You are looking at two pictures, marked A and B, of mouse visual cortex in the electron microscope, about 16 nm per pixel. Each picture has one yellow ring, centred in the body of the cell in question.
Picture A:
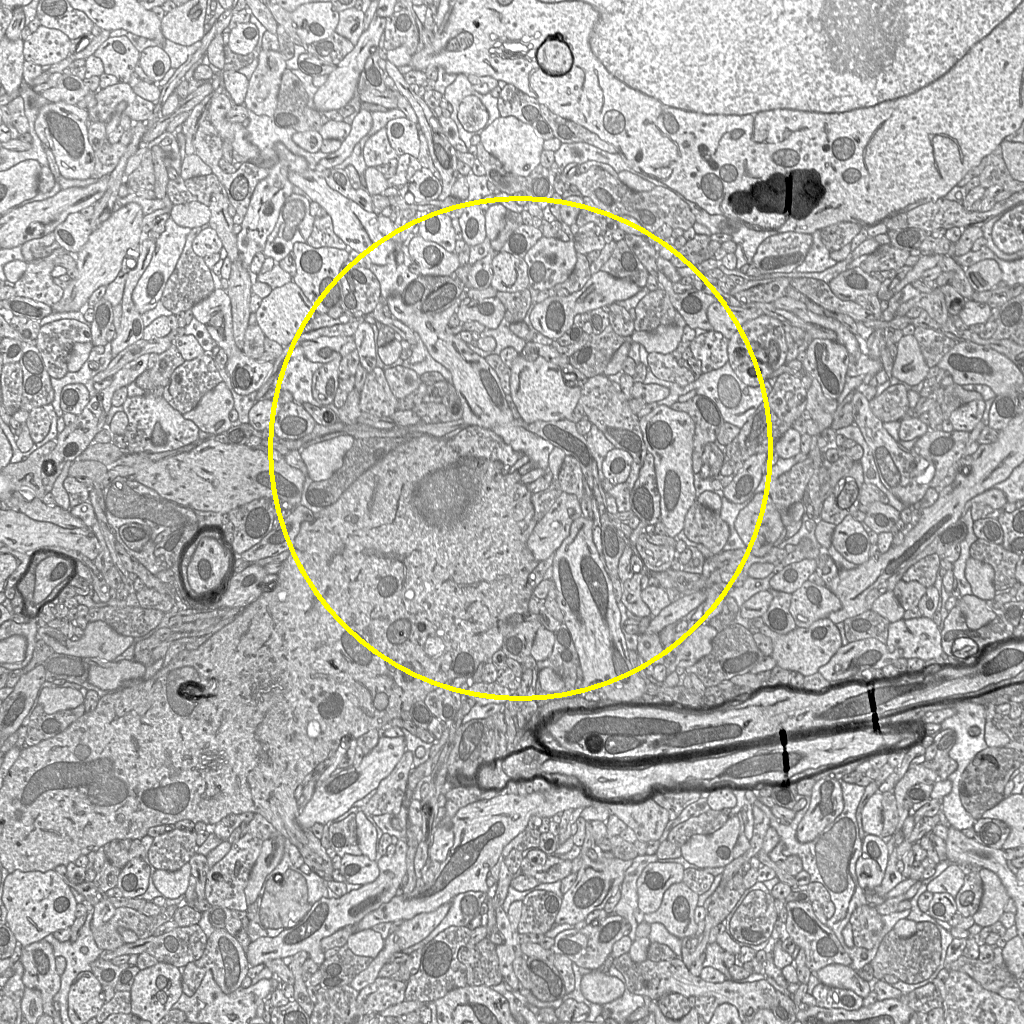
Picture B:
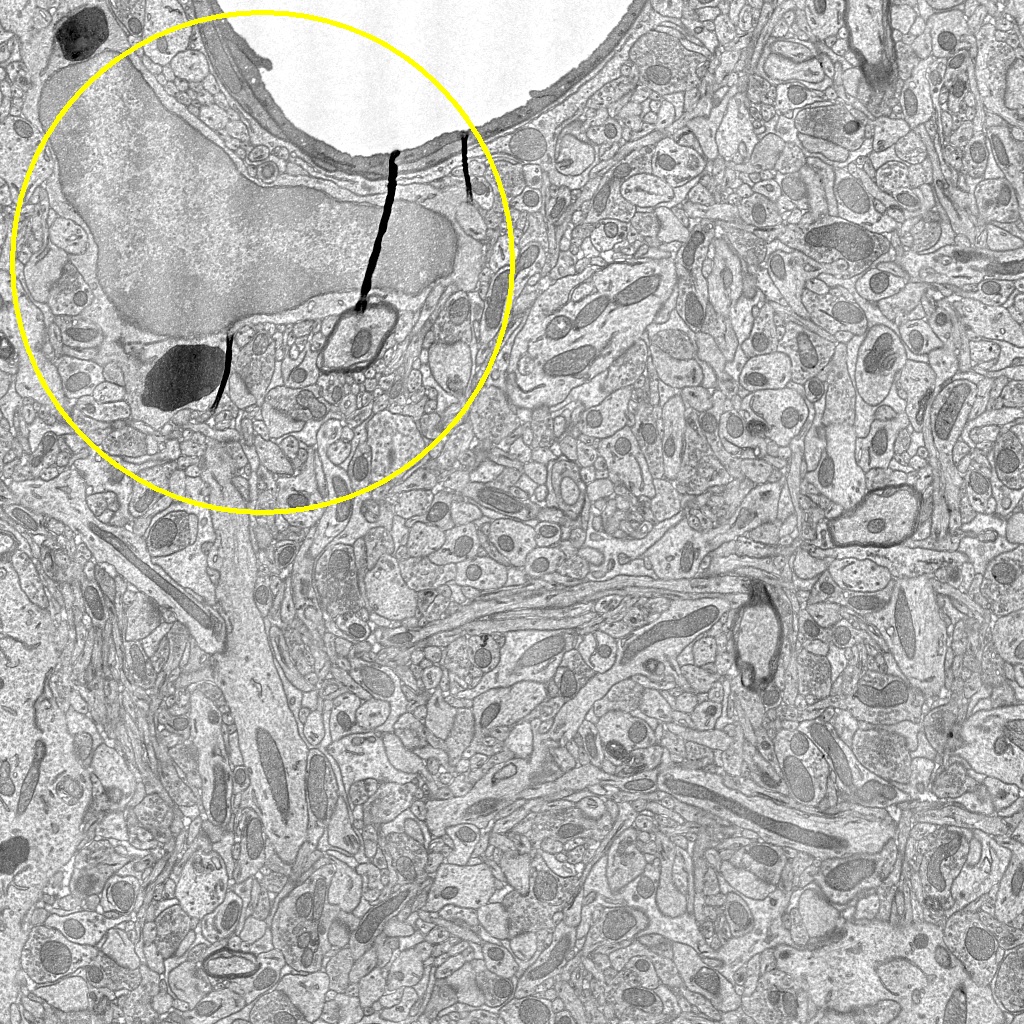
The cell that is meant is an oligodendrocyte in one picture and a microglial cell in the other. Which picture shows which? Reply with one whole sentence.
Picture A is of an oligodendrocyte, and picture B is of a microglial cell.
